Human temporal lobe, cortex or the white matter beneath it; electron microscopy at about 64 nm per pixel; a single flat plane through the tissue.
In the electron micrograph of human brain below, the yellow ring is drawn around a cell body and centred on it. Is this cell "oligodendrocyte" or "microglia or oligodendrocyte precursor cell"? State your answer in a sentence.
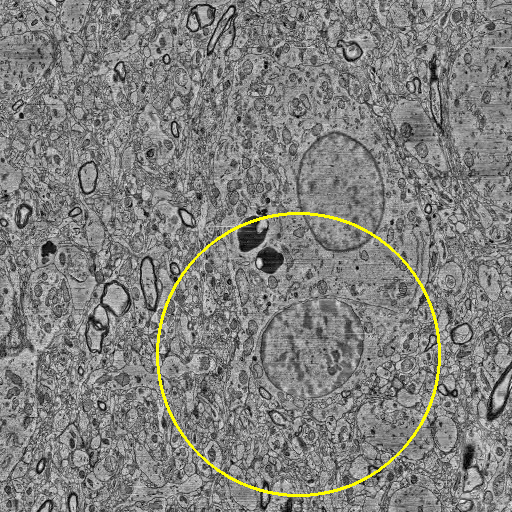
The cell in the middle of the ring is an oligodendrocyte.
